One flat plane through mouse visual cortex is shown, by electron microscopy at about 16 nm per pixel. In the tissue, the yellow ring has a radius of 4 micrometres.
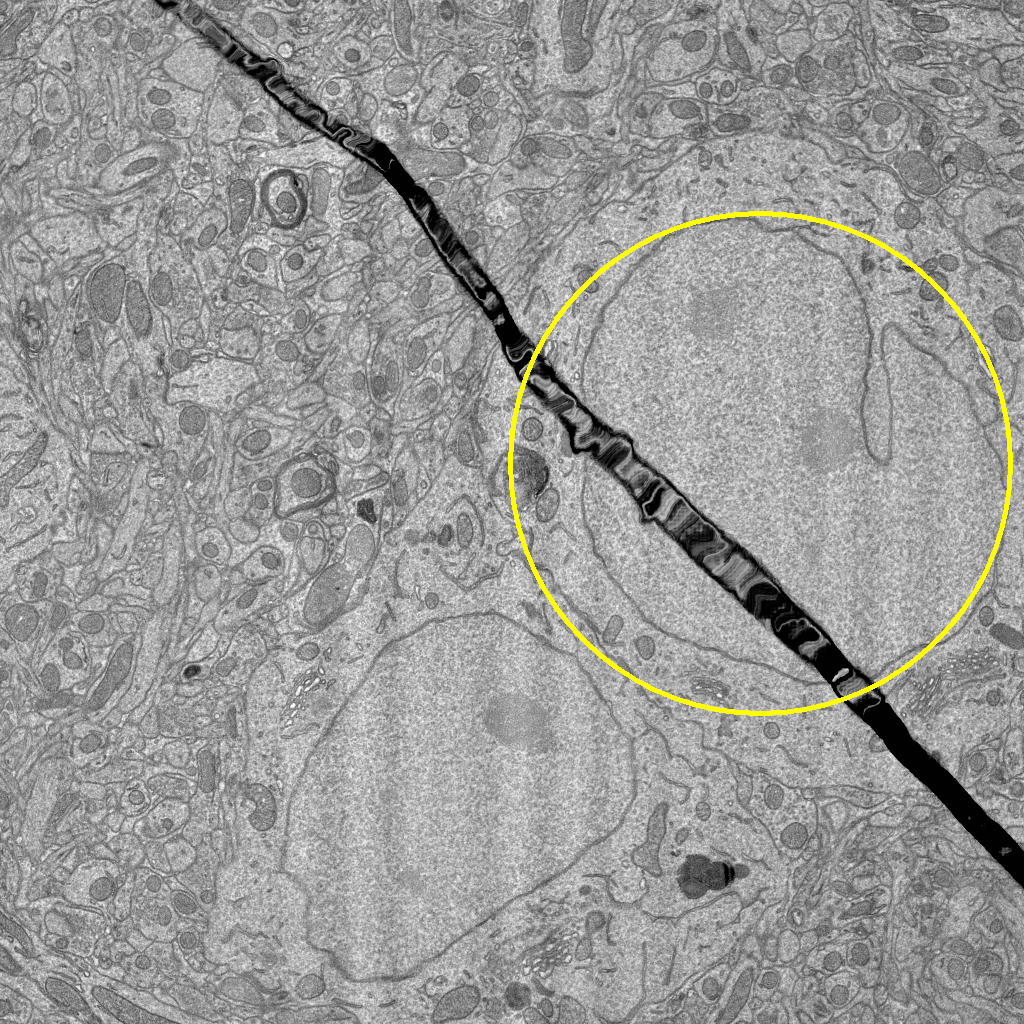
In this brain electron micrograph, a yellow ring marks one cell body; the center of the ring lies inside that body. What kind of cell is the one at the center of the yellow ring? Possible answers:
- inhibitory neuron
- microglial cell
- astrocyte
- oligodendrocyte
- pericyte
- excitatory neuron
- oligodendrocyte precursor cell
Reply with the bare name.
excitatory neuron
